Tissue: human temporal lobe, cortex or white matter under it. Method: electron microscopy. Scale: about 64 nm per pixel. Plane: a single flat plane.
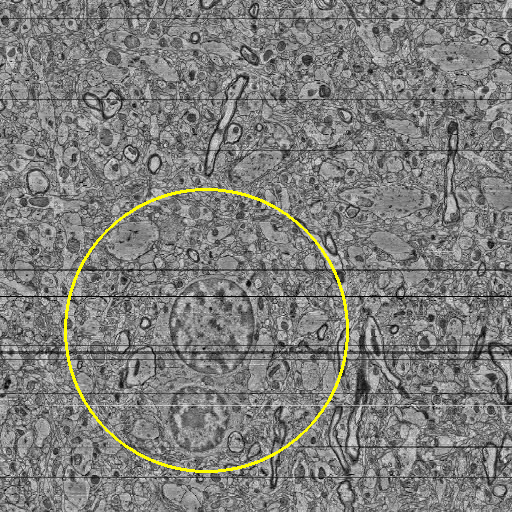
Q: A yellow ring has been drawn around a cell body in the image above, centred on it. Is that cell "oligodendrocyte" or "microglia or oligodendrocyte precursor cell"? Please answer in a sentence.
The ring surrounds the cell body of an oligodendrocyte.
